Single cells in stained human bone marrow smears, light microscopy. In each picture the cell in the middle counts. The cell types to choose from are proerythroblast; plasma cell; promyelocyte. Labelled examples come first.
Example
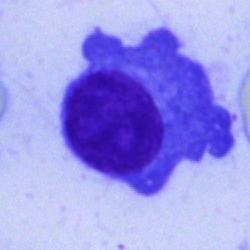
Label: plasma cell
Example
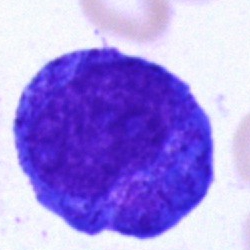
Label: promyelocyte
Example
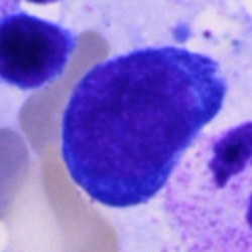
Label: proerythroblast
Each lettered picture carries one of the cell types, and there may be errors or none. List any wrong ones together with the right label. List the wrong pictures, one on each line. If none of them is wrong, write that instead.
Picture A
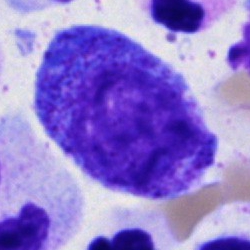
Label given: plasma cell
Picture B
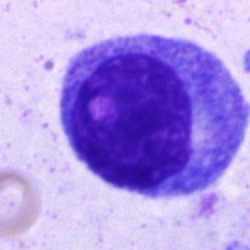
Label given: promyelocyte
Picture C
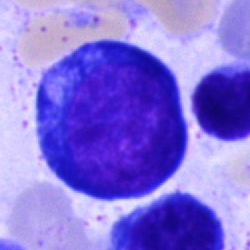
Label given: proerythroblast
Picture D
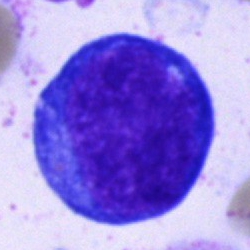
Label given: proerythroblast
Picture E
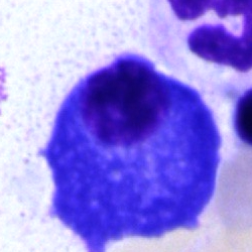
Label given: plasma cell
A: not plasma cell but promyelocyte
